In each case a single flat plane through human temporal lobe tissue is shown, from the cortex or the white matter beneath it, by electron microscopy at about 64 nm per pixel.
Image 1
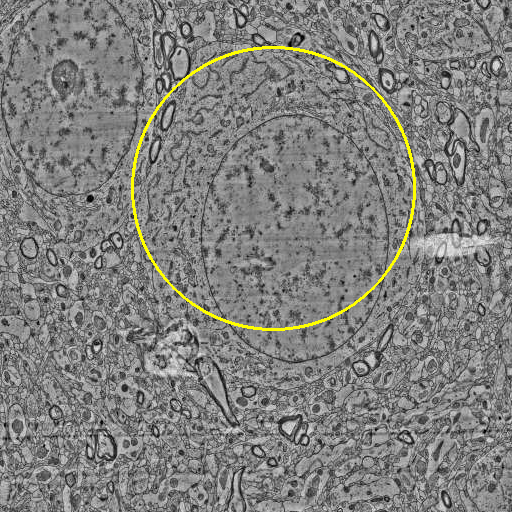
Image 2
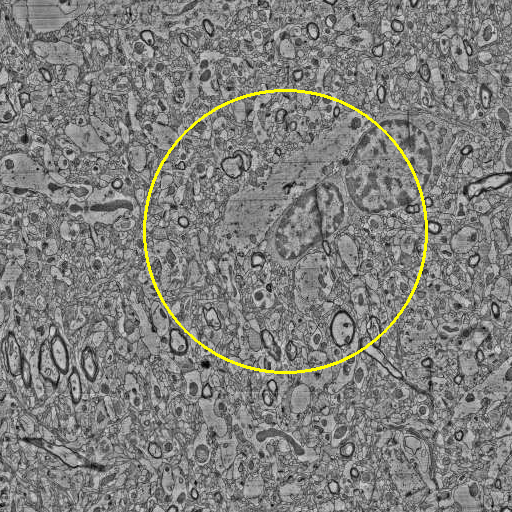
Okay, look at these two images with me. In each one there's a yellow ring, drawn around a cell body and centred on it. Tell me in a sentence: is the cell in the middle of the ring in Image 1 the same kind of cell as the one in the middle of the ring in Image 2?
No, they're two kinds of cell.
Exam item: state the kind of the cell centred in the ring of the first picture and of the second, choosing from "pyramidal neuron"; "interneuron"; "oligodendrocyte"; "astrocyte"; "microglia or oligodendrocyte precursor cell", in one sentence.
The first picture shows a pyramidal neuron at the ring centre and the second shows an oligodendrocyte.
